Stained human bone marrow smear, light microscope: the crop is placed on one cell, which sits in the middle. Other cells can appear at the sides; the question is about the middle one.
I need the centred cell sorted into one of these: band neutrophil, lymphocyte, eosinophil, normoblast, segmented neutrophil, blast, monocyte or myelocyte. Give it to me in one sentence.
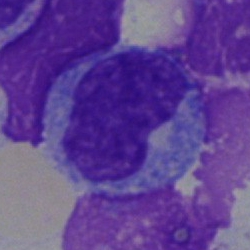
Regarding the central cell, it is a monocyte.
